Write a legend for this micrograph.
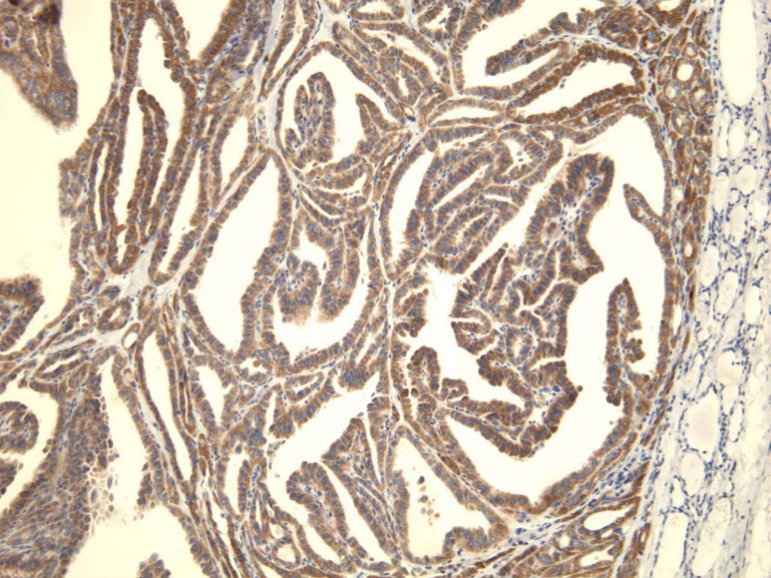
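This is a tumor of the thyroid, built of branching papillae that project into wide open spaces, with strongly brown-stained tumor cells. Each papilla has a thin pale core of fibrovascular stroma. The core is lined by one to a few layers of crowded cuboidal to columnar epithelial cells, and their nuclei overlap. The cytoplasm of these lining cells is diffusely brown, with no unstained areas among them. At the right edge lies uninvolved thyroid tissue of small round follicles filled with pale colloid. Those follicles are lined by flat cells with blue nuclei that take up little or no brown stain.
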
